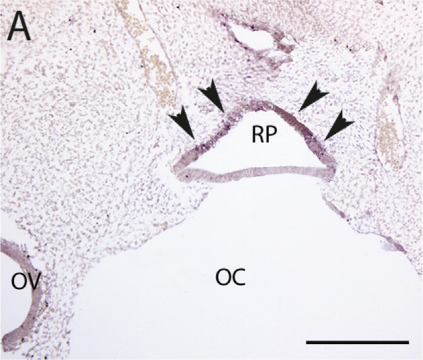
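This section shows an epithelial pouch arching over the roof of the oral cavity, surrounded by loose, pale mesenchyme. At the lower left edge, part of another epithelial vesicle can be seen.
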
